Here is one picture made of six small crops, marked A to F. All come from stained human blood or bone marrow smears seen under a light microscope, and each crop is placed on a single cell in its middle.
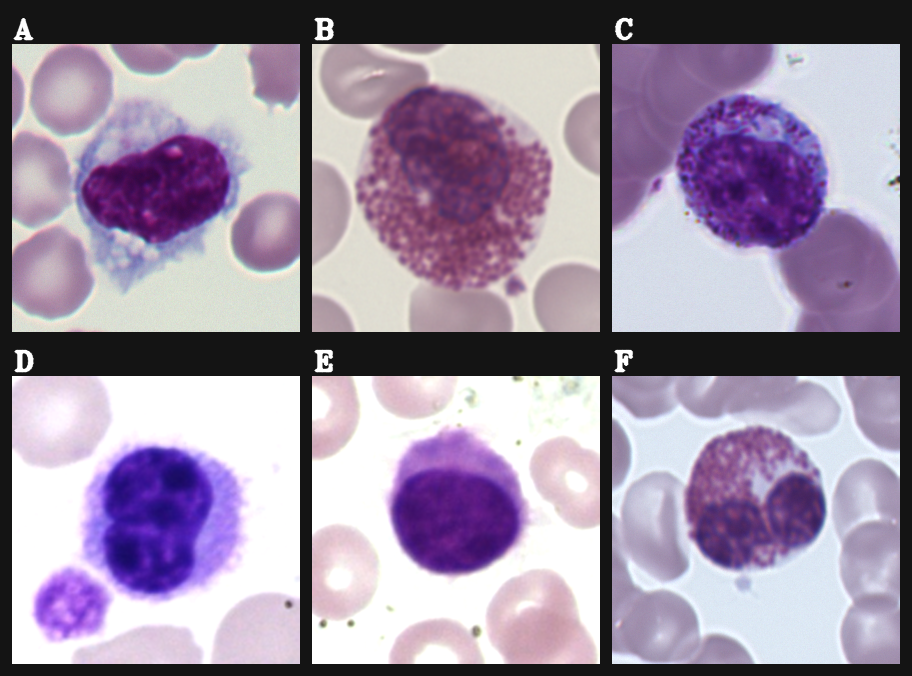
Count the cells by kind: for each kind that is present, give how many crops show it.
hairy cell: 3
eosinophil: 2
promyelocyte: 1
